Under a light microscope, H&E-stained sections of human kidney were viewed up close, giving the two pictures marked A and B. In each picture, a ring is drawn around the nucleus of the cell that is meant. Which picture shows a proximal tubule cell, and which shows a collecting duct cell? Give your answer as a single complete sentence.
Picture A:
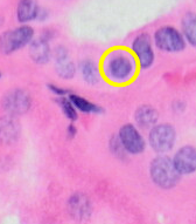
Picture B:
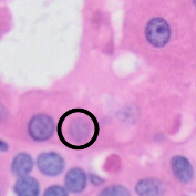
The cell in picture A is a collecting duct cell, and the one in picture B is a proximal tubule cell.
